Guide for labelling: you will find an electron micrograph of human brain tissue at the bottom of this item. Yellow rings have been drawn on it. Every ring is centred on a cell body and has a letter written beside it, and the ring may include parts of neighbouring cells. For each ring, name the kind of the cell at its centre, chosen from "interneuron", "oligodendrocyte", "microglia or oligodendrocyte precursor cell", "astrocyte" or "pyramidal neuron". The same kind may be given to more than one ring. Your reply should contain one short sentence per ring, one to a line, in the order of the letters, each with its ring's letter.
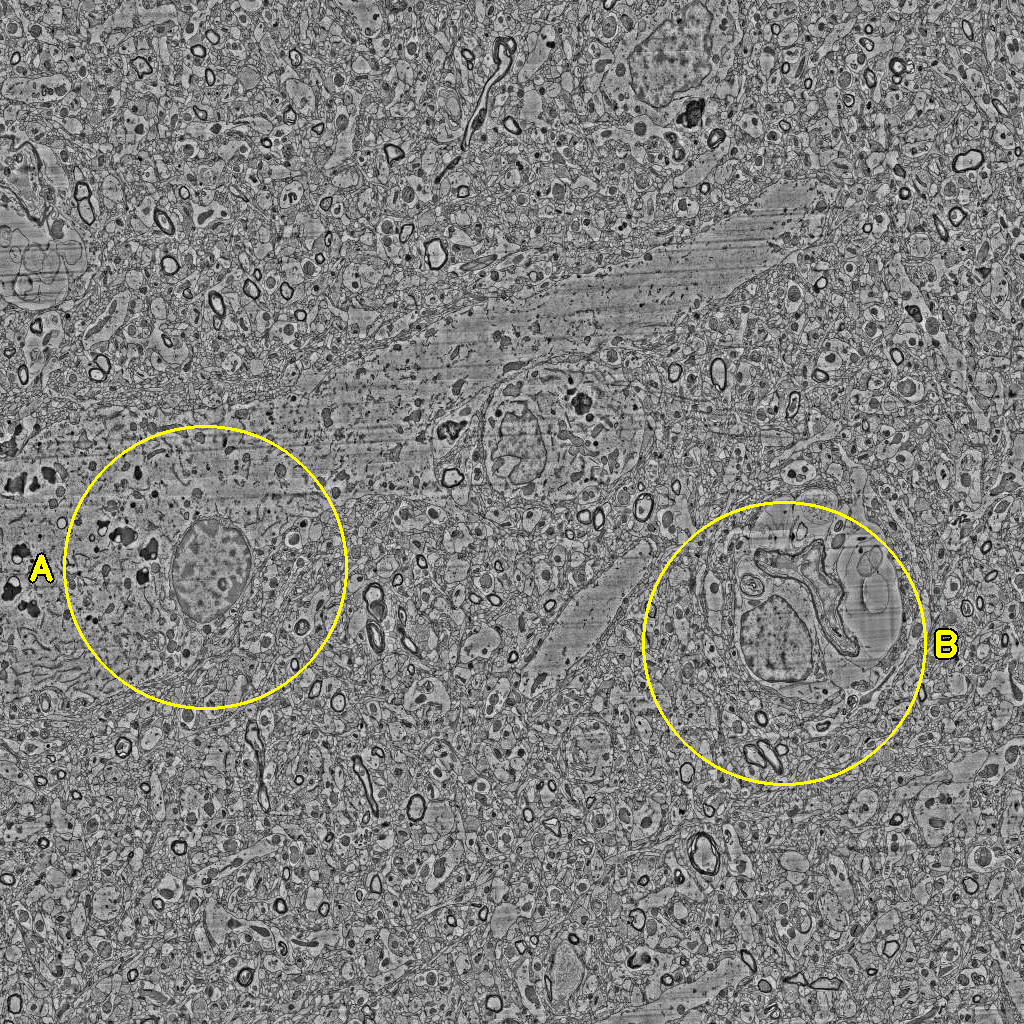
Ring A is centred on the body of an oligodendrocyte.
Ring B is centred on the body of a microglial cell or oligodendrocyte precursor cell.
